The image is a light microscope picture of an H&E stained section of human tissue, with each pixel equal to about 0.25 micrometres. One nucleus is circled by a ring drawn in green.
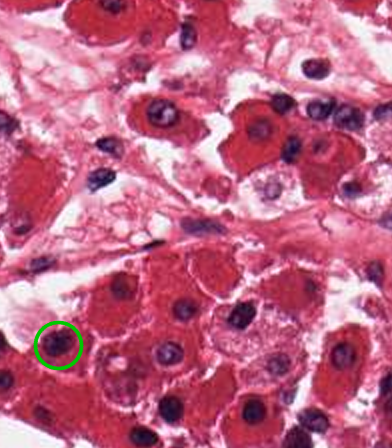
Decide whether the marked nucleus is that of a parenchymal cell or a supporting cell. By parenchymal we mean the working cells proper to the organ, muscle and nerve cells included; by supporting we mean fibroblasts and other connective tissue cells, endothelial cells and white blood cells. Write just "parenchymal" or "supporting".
parenchymal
